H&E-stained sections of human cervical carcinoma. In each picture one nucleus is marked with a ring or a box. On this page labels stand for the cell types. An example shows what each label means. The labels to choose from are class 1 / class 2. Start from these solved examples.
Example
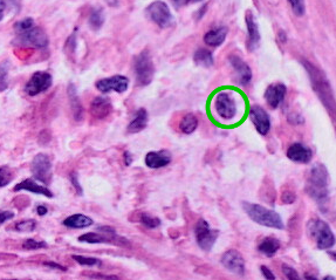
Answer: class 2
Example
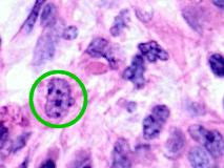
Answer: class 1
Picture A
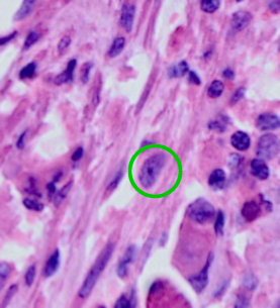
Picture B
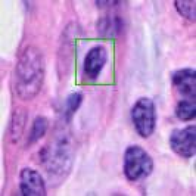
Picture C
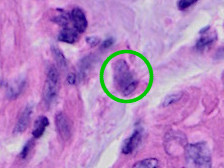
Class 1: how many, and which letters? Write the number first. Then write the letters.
2: A, C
